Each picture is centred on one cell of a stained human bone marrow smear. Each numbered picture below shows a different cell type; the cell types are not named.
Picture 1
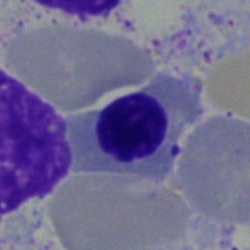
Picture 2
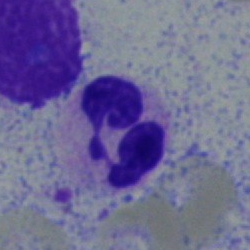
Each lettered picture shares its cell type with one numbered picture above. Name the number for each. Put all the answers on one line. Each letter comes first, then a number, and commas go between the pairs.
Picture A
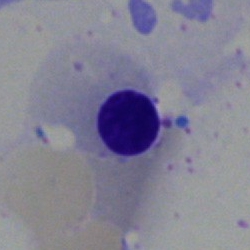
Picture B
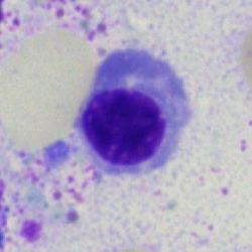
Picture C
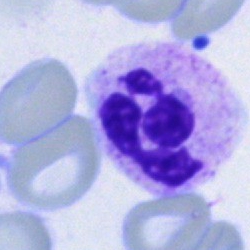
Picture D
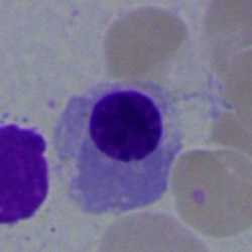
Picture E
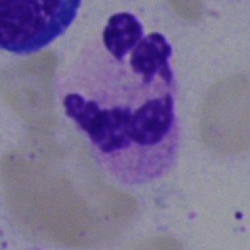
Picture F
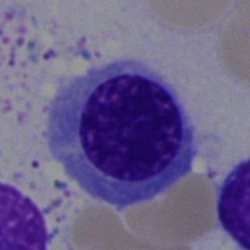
A 1, B 1, C 2, D 1, E 2, F 1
